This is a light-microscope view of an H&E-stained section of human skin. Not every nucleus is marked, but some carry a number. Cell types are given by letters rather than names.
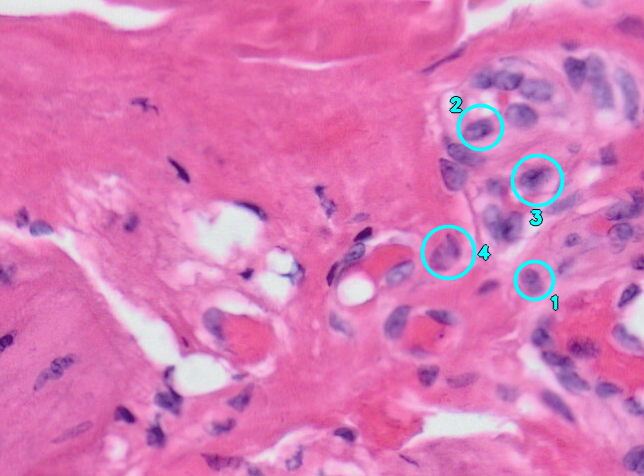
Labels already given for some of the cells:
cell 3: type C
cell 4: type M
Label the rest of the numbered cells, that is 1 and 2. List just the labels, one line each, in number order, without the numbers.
type M
type C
